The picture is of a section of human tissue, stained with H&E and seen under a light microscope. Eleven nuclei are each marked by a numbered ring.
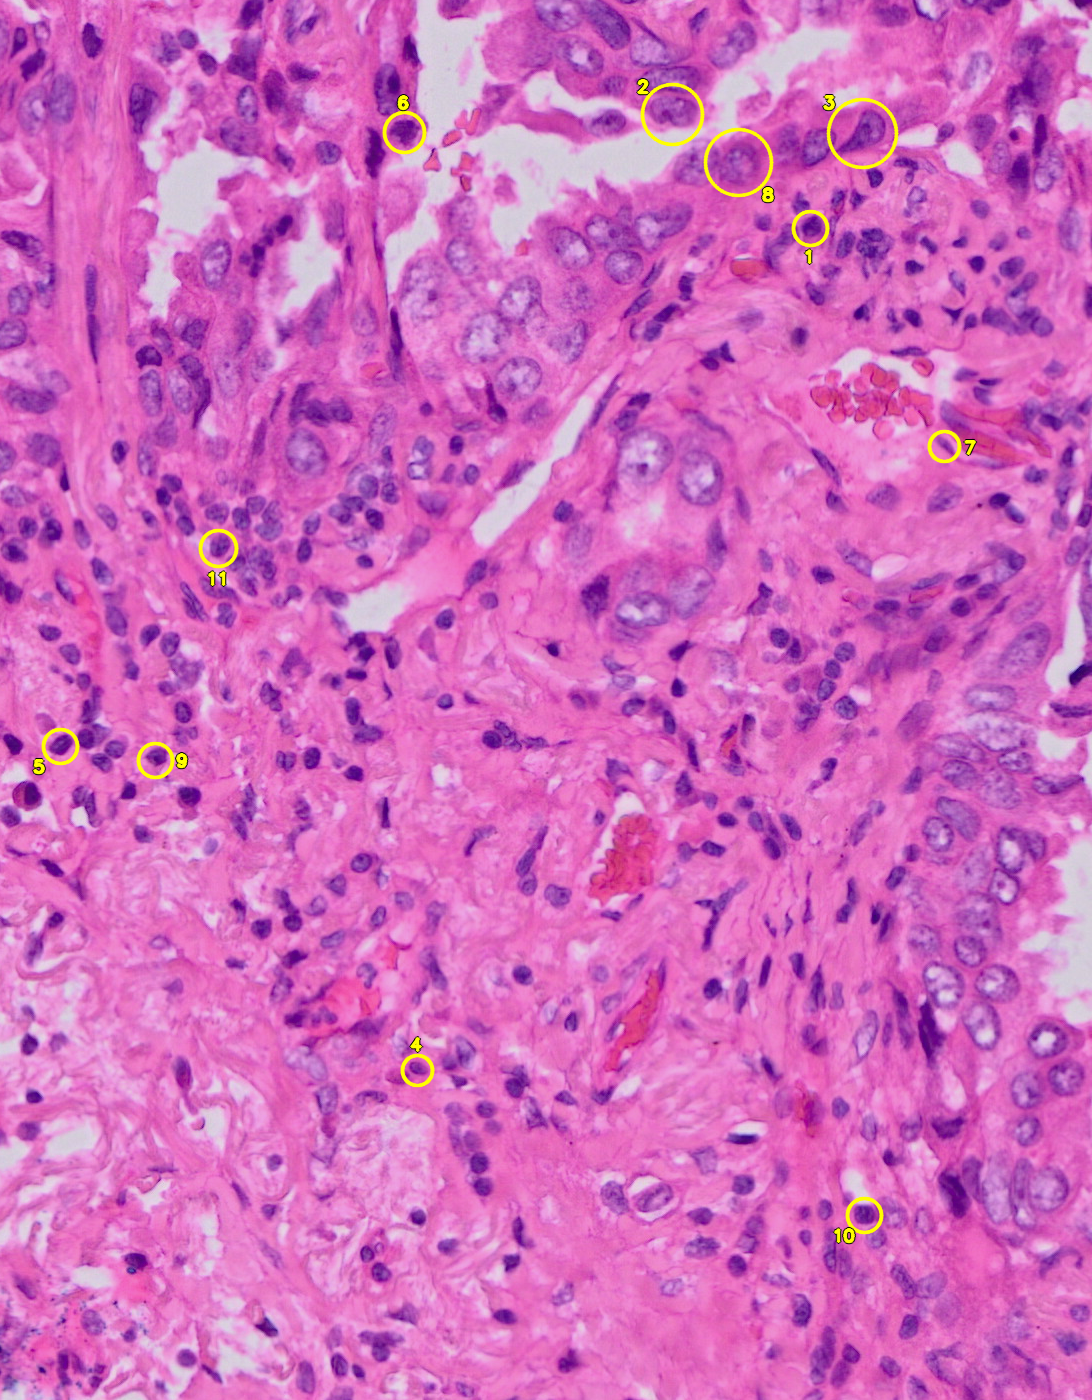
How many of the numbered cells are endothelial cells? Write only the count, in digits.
1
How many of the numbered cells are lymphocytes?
4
